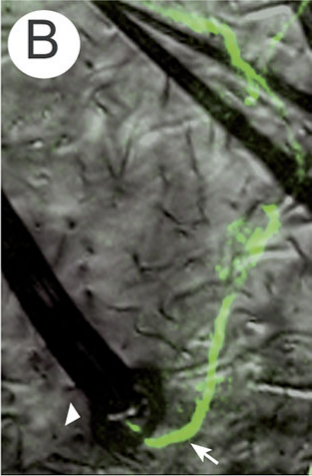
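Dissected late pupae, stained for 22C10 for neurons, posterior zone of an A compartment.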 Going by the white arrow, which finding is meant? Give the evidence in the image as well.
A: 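U-shaped termination. At the arrow the green thread curves round beside the bristle base rather than ending straight.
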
